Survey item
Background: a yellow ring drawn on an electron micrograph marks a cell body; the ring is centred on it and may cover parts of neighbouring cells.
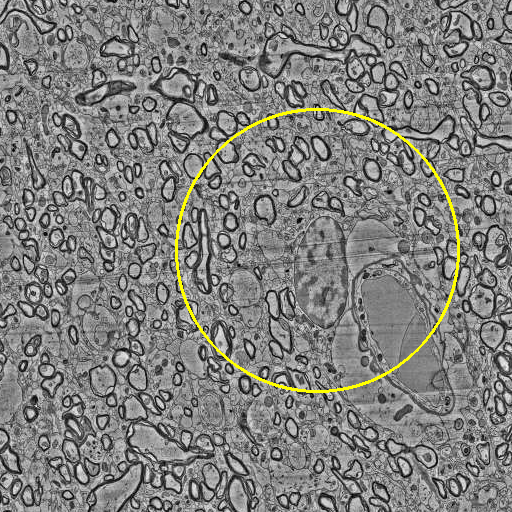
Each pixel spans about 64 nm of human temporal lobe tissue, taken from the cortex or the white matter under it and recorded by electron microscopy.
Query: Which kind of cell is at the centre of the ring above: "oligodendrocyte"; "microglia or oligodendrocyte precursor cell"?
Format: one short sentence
The cell in the middle of the ring is a microglial cell or oligodendrocyte precursor cell.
